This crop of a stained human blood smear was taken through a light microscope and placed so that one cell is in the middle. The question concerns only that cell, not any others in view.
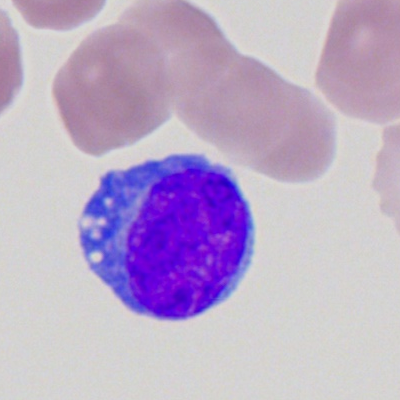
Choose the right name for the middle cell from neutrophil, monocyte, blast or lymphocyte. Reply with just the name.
lymphocyte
